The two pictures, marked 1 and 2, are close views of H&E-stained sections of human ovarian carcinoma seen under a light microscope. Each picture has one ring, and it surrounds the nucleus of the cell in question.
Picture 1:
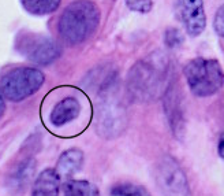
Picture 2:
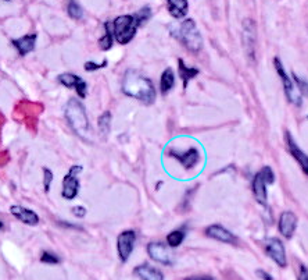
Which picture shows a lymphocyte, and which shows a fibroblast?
1: lymphocyte
2: fibroblast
